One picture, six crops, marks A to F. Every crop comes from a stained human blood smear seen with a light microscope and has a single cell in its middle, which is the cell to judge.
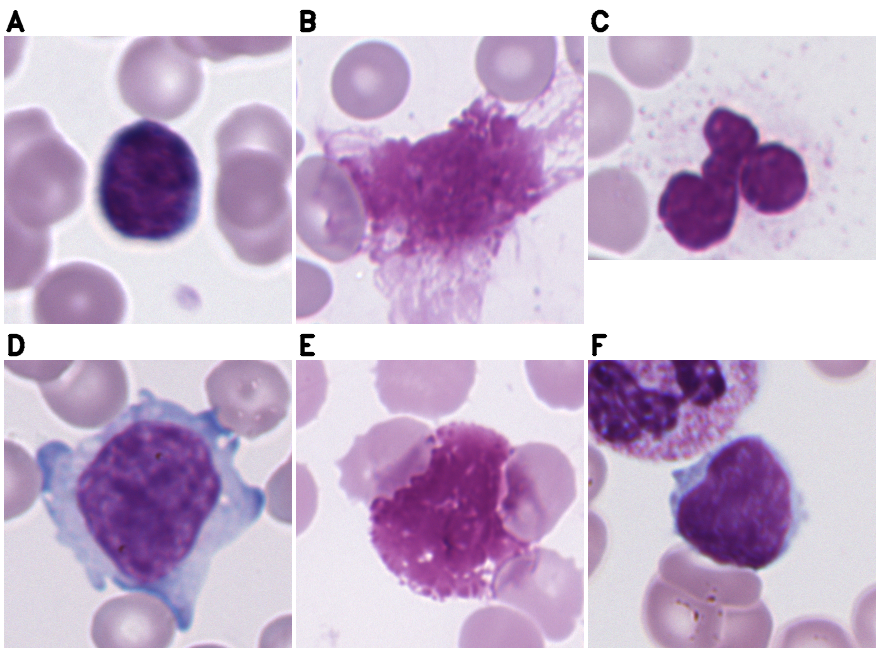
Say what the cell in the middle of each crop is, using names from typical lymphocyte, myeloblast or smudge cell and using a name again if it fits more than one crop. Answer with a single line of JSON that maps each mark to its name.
{"A": "typical lymphocyte", "B": "smudge cell", "C": "smudge cell", "D": "myeloblast", "E": "smudge cell", "F": "typical lymphocyte"}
